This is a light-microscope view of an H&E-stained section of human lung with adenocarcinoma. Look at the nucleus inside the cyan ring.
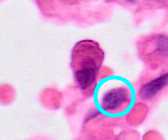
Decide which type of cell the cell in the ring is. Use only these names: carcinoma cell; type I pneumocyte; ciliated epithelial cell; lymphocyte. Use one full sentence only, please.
Speaking plainly, the cell in the ring is nothing other than a type I pneumocyte.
